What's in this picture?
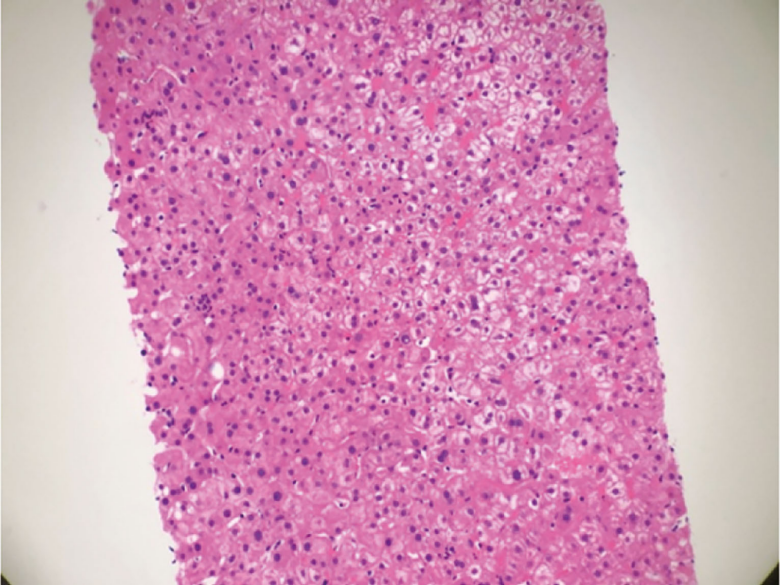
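This is liver tissue made up of hepatocytes arranged in plates separated by narrow sinusoids. The hepatocytes are large and polygonal, each with a round, centrally placed purple nucleus. Many of them have pale, clear or finely granular cytoplasm and look enlarged, while others keep a denser pink cytoplasm. Small dark nuclei of other cells are scattered between the hepatocyte plates. The overall architecture of the tissue is preserved, with no destruction of the plates.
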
